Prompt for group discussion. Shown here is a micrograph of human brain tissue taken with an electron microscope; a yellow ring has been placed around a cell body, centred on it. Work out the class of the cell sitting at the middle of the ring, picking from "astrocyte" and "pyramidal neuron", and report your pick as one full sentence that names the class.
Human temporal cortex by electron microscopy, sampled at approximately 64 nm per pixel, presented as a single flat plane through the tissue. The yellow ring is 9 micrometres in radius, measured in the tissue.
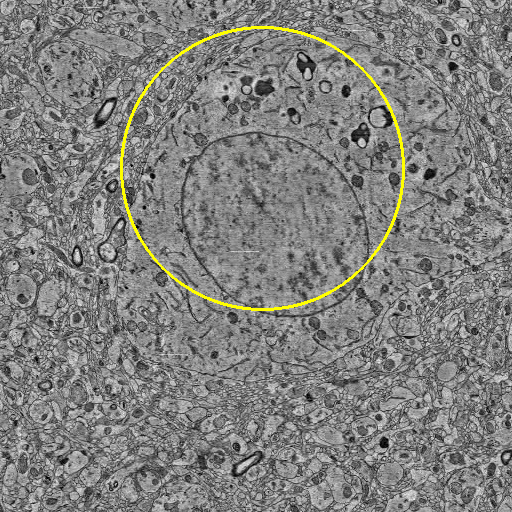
The cell sitting at the middle of the yellow ring is a pyramidal neuron.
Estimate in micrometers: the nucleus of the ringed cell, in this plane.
The nucleus is approximately 13 micrometers long by 11 micrometers wide in this plane.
